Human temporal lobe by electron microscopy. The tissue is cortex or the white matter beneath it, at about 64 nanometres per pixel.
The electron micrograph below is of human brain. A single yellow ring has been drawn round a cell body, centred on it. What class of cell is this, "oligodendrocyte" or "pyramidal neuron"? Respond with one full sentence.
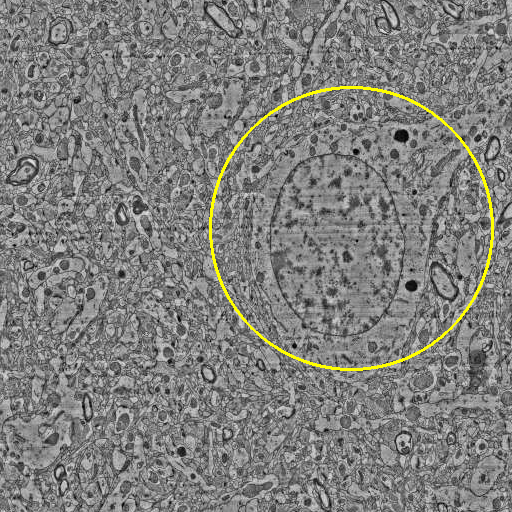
In the micrograph, the cell centred inside the yellow ring is a pyramidal neuron.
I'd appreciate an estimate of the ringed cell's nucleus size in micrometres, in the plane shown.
The nucleus comes to roughly 12 by 9 micrometres in this plane.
